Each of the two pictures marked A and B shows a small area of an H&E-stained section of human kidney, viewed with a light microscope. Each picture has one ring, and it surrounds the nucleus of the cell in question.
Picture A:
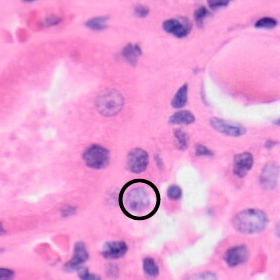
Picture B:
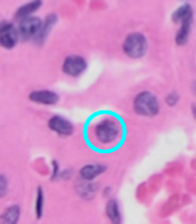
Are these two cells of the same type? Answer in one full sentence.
Yes, they are the same type: both are “loop of Henle or distal tubule cells”.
